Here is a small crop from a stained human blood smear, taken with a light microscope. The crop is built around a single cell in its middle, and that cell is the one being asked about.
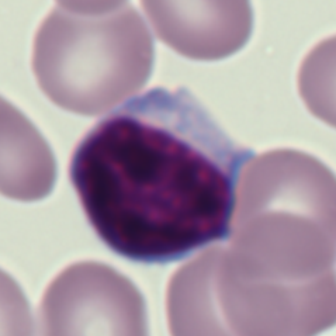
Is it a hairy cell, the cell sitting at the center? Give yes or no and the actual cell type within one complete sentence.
No, the cell placed at the center is a typical lymphocyte rather than a hairy cell.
